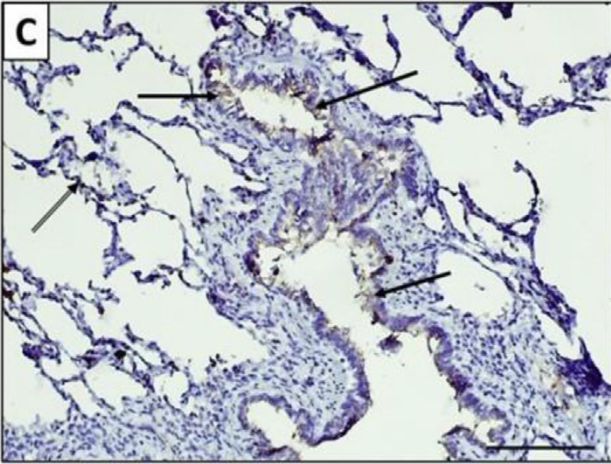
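This is lung tissue centred on a folded airway, surrounded by thin-walled alveoli. Around the airway a sleeve of connective tissue holds many spindle-shaped nuclei. Further out, delicate alveolar walls with scattered nuclei separate large empty air spaces.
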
